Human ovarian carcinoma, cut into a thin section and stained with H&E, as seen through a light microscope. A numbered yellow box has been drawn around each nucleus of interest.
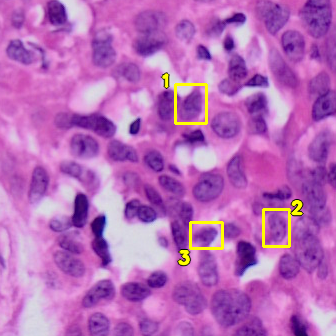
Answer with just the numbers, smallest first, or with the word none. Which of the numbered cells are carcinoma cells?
1, 3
